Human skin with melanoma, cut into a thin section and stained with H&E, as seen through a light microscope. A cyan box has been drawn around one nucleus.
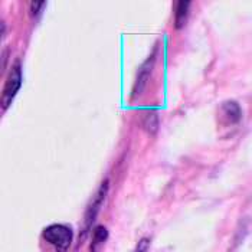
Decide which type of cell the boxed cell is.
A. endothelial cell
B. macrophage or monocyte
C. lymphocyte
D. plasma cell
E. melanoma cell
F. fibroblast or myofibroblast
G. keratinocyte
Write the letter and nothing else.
A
